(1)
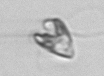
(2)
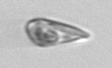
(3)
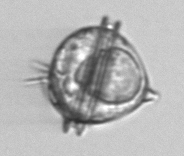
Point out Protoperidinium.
That is picture 3.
